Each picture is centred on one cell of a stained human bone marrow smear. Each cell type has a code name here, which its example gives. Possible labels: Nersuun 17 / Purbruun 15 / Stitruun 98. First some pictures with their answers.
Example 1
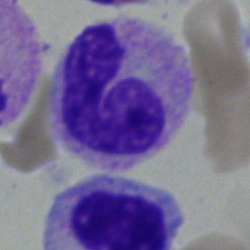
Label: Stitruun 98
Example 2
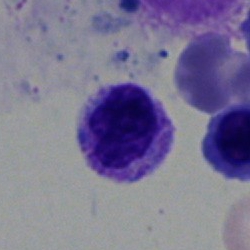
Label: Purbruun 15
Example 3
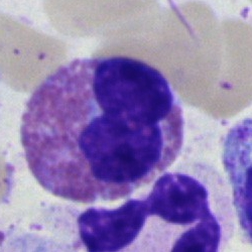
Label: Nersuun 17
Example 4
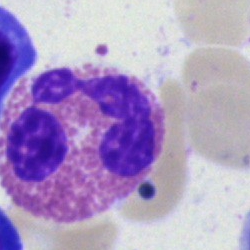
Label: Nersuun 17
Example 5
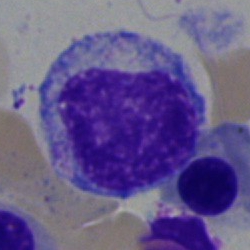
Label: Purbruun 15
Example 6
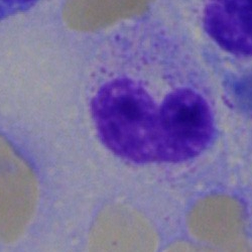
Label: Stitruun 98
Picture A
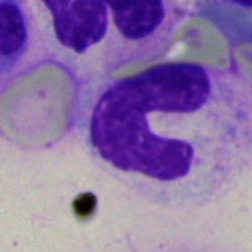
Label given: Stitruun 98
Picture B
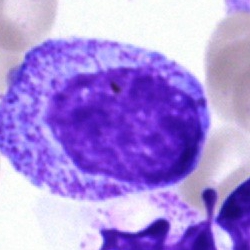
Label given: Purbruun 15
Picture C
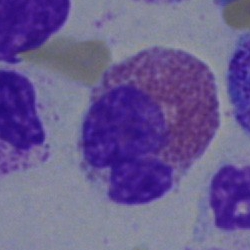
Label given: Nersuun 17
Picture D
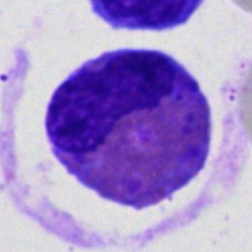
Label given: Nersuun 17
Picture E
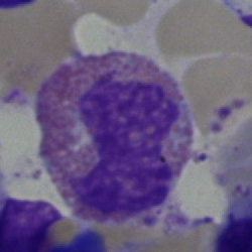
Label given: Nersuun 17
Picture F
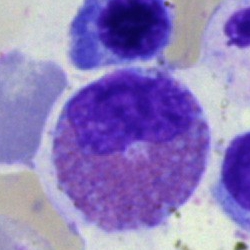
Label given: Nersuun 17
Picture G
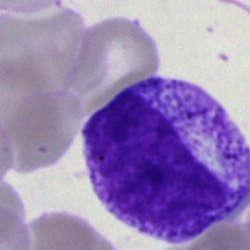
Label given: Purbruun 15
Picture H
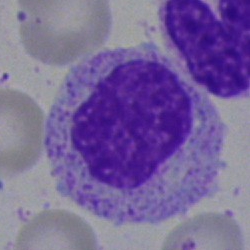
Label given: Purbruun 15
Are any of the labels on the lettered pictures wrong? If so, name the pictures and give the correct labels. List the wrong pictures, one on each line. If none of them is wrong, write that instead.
All correct.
